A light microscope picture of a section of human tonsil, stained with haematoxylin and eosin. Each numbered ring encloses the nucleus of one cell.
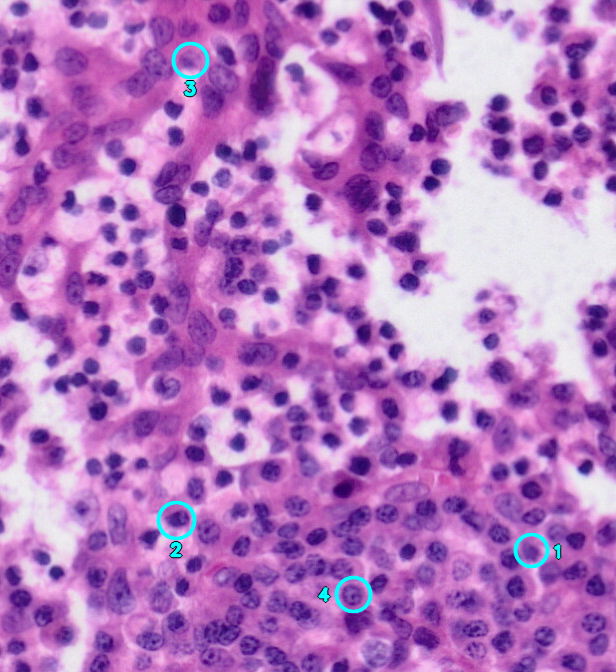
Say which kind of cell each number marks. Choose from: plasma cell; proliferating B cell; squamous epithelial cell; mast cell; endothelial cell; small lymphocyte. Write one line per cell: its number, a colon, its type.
1: plasma cell
2: plasma cell
3: squamous epithelial cell
4: plasma cell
